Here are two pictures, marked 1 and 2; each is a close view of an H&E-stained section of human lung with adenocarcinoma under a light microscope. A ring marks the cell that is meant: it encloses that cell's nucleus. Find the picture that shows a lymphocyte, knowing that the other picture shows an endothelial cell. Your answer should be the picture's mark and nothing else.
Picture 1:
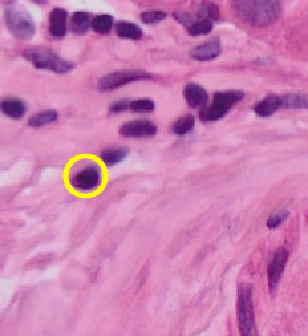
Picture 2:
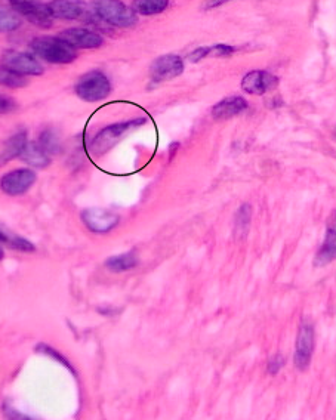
1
